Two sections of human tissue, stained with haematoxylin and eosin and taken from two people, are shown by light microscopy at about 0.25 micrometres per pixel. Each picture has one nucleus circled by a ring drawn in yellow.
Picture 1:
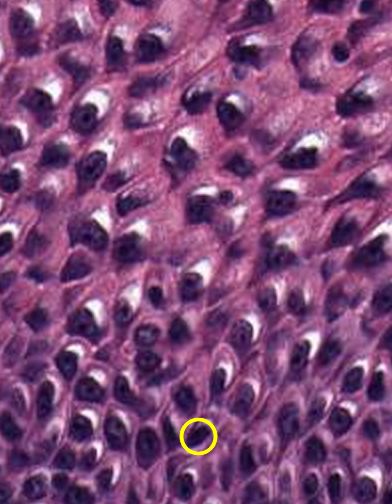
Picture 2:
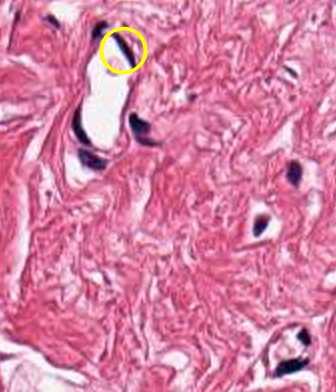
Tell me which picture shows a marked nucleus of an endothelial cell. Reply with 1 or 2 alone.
2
